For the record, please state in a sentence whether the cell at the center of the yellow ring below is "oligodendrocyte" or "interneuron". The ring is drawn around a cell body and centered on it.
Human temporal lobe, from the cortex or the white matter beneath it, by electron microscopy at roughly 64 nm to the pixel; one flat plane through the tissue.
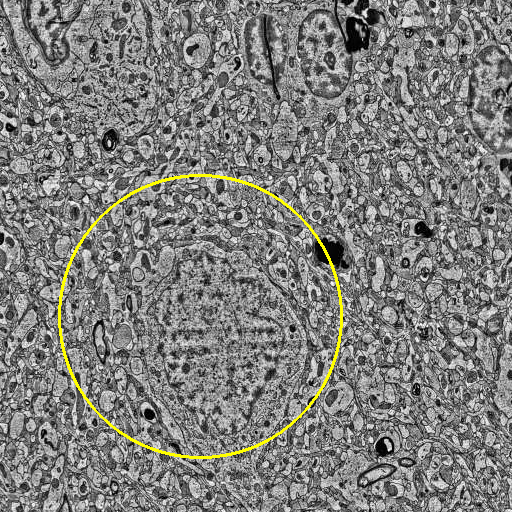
The cell at the ring's center is an interneuron.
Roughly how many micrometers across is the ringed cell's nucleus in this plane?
The nucleus has a long axis of about 11 micrometres and a short axis of about 9 micrometres in this plane.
